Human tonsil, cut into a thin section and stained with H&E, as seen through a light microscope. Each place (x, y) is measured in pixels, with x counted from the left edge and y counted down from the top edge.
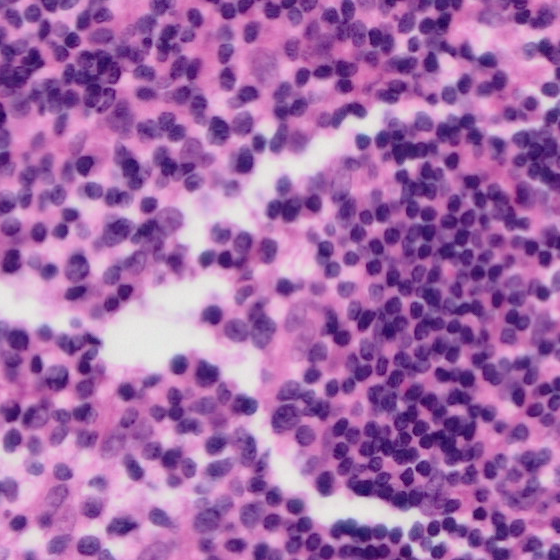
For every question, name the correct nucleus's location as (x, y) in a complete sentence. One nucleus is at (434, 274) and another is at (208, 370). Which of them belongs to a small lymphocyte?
That would be the nucleus at (434, 274); it belongs to a small lymphocyte.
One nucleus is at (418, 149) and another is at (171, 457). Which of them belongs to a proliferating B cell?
The nucleus at (171, 457) is part of a proliferating B cell, while the other is not.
